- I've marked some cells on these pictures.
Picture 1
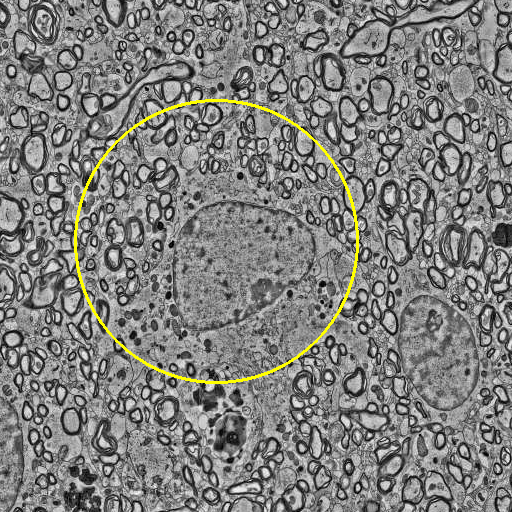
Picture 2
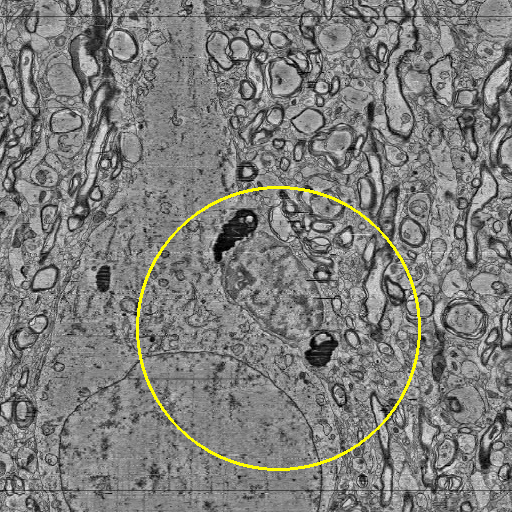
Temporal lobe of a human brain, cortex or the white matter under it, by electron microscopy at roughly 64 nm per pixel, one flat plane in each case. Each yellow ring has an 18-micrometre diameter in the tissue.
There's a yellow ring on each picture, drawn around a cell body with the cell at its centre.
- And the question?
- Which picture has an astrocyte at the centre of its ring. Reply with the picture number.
1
